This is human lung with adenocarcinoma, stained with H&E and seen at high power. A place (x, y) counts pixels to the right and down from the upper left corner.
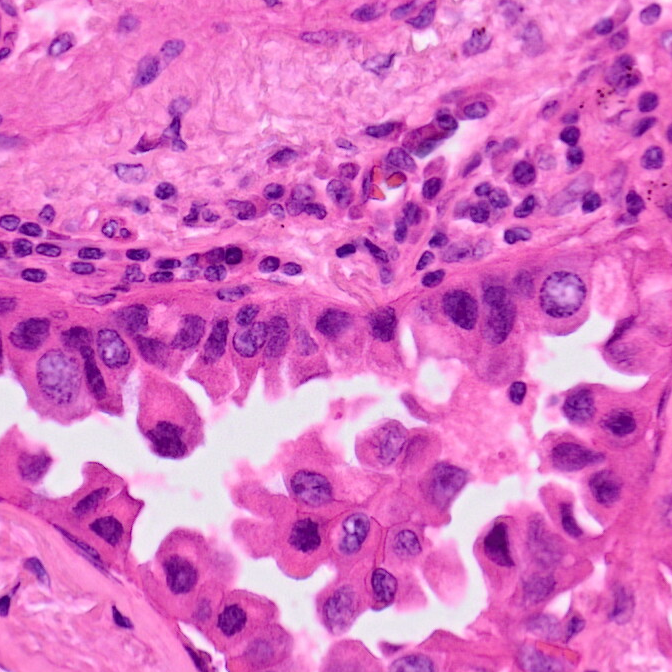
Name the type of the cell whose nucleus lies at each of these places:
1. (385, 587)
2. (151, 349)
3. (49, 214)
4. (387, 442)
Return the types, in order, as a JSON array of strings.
["carcinoma cell", "carcinoma cell", "lymphocyte", "carcinoma cell"]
